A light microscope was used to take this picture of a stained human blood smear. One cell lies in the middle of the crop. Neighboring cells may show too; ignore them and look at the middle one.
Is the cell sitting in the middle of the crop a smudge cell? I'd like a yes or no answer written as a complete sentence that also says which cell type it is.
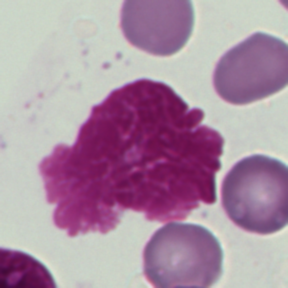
Yes, the identification of the central cell as a smudge cell is correct.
